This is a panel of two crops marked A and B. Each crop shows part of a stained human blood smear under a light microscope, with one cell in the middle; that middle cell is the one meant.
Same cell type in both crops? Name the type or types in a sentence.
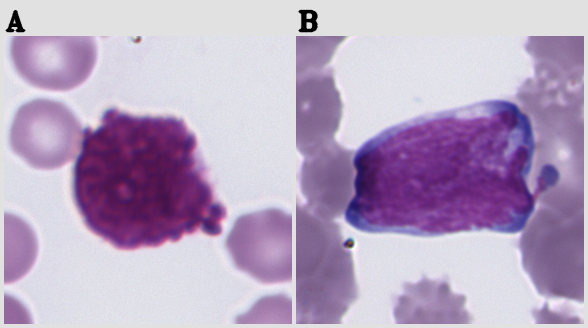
No, in fact crop A shows a smudge cell, and crop B shows a myeloblast.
